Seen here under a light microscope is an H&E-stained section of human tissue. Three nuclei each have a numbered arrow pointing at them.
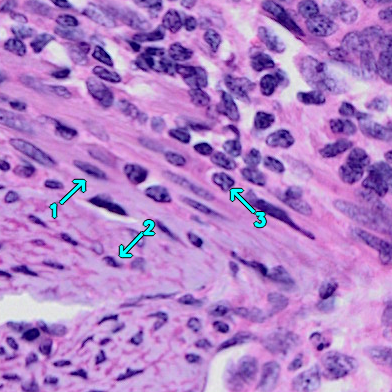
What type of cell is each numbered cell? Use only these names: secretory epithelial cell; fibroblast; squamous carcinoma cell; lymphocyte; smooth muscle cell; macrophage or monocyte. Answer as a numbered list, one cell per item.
1. fibroblast
2. smooth muscle cell
3. lymphocyte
